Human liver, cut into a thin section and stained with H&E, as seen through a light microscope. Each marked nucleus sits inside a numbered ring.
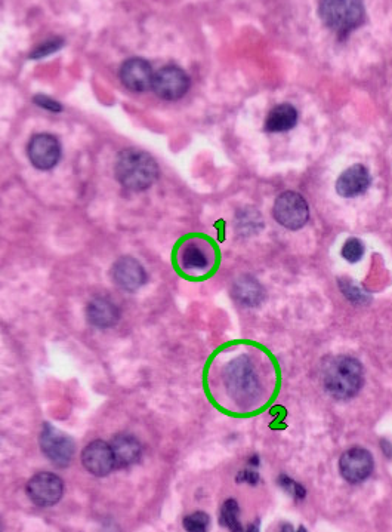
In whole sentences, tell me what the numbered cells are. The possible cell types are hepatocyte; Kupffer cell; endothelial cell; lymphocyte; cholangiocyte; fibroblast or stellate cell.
Cell 1 is a fibroblast or stellate cell and cell 2 is an endothelial cell.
